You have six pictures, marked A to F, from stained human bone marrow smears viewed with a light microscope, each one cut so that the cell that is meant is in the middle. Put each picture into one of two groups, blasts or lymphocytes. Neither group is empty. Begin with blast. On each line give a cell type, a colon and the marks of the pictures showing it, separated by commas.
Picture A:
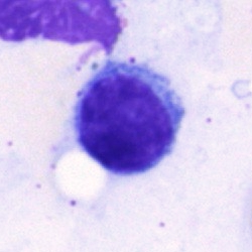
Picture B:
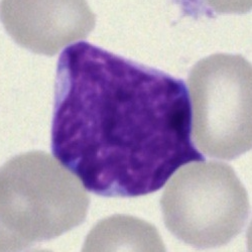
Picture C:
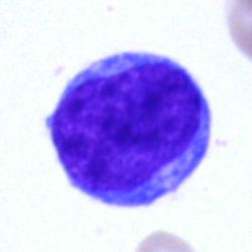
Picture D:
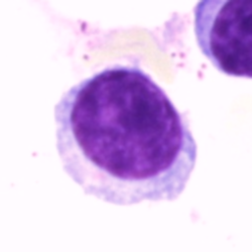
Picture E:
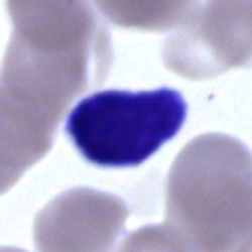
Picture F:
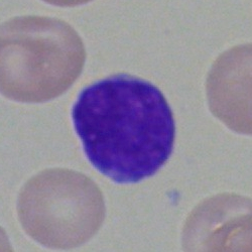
blast: B, C
lymphocyte: A, D, E, F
